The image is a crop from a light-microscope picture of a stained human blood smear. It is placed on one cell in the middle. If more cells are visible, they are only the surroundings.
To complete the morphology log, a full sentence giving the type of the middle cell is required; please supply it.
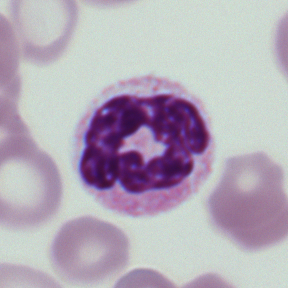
The centrally positioned cell in the crop represents a segmented neutrophil.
